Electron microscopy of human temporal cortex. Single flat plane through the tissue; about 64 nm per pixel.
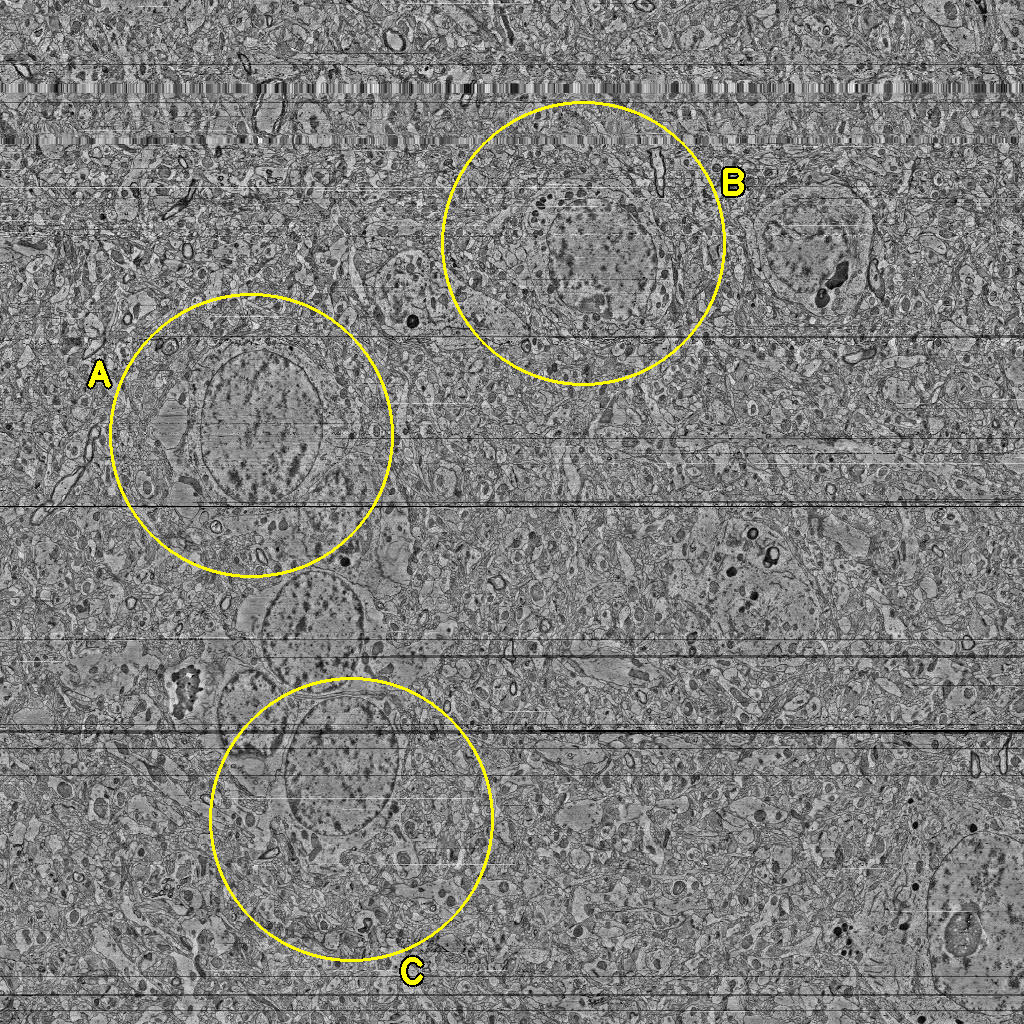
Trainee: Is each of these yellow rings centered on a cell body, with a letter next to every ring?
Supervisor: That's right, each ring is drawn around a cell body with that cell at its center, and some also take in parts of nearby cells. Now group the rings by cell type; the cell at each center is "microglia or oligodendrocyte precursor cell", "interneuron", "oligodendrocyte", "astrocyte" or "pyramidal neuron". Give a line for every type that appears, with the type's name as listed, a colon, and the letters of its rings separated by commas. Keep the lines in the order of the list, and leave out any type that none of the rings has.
interneuron: B
astrocyte: C
pyramidal neuron: A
